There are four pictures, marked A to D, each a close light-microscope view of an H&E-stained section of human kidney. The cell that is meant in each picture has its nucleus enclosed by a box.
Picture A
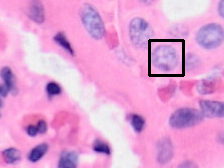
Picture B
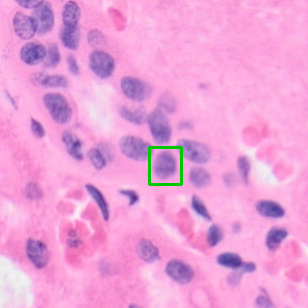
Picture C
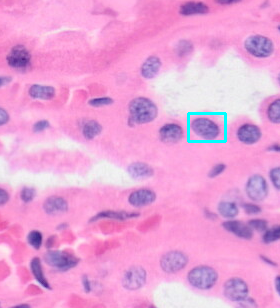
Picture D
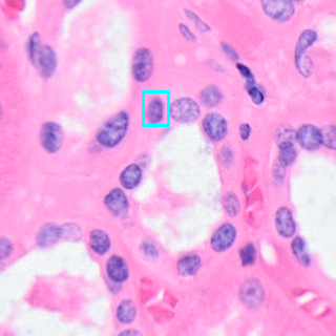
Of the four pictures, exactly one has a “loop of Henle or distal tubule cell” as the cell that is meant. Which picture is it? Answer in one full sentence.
Picture C is the one that shows the “loop of Henle or distal tubule cell”.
